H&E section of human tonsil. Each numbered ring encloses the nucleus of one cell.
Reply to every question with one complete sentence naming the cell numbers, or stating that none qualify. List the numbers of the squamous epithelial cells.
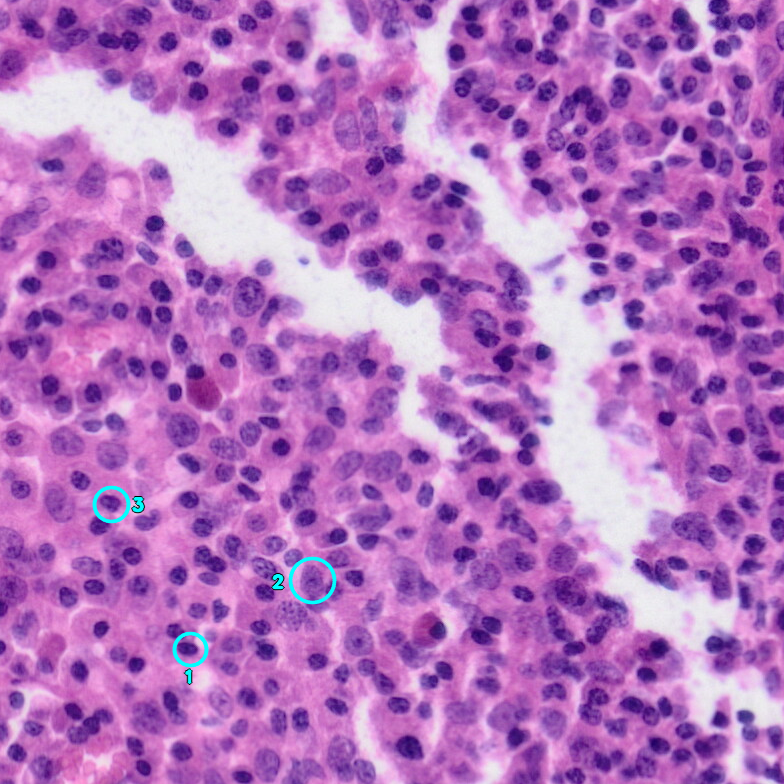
Cell 2 is a squamous epithelial cell, which is true of none of the other numbered cells.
